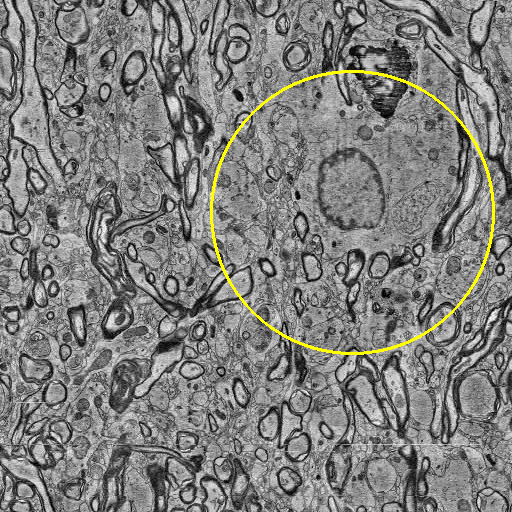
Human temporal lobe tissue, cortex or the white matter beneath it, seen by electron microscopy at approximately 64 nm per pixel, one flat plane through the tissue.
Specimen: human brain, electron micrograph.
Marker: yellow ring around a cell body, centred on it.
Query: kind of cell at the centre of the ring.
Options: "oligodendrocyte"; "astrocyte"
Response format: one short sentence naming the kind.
This cell body belongs to an astrocyte.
